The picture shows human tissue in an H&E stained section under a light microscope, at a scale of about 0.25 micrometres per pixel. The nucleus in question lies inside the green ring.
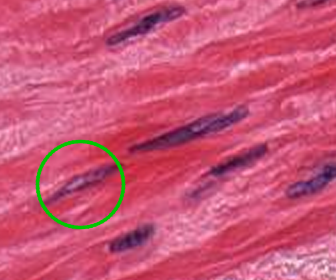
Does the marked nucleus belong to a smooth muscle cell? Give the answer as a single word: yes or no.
yes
